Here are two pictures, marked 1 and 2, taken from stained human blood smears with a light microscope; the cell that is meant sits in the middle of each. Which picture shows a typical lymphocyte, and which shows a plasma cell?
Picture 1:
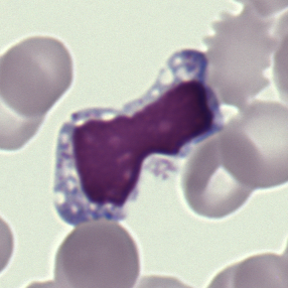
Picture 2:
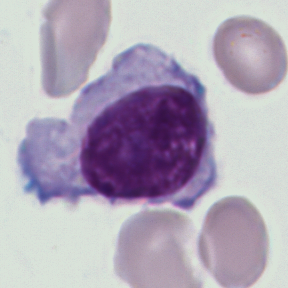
1: typical lymphocyte
2: plasma cell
